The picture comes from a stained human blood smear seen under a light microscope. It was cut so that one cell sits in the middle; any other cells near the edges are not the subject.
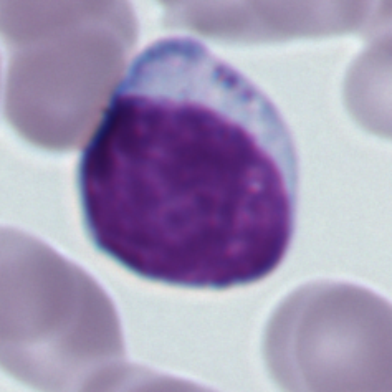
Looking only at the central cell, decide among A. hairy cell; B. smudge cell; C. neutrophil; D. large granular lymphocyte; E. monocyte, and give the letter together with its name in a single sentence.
As the central cell is a large granular lymphocyte, option D is correct.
